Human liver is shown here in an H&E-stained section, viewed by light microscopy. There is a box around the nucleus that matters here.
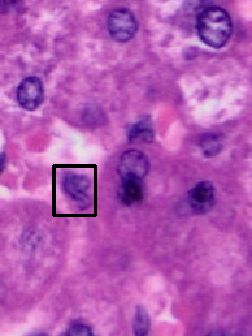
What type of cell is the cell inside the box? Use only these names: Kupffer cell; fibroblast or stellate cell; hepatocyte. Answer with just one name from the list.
Kupffer cell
